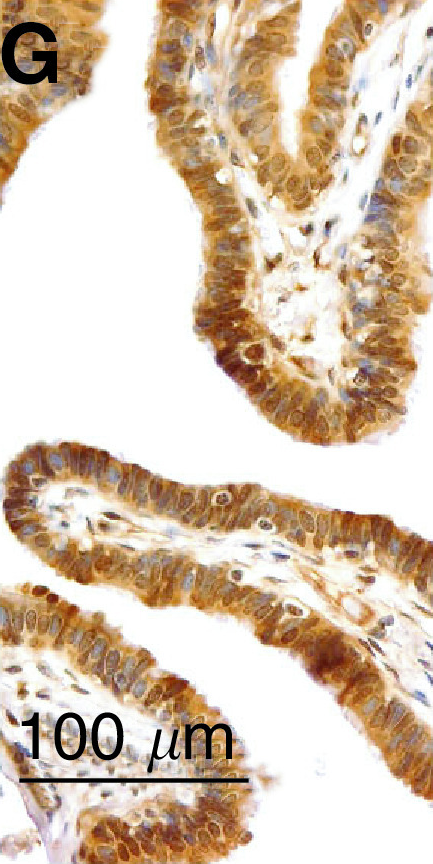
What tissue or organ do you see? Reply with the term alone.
Tubal epithelium.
